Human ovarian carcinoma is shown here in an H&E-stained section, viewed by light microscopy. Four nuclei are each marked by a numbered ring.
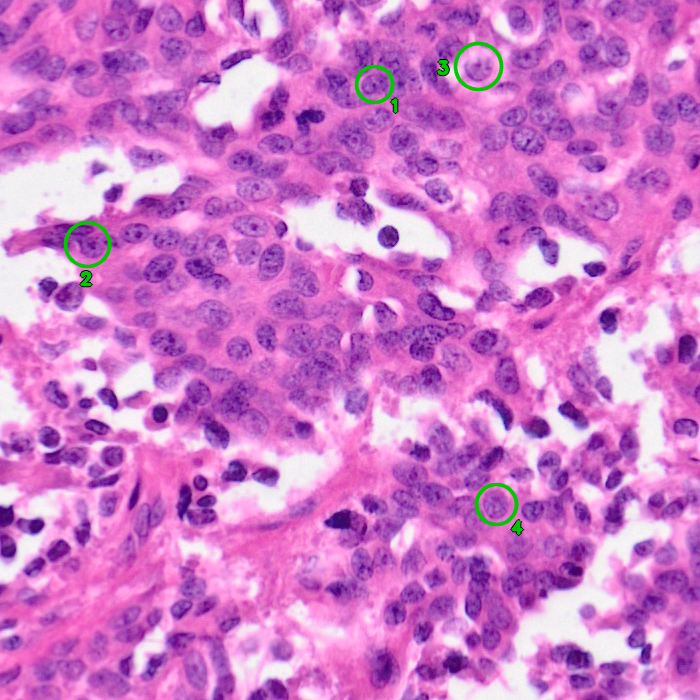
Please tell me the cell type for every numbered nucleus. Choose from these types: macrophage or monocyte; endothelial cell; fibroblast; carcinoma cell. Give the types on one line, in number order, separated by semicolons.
carcinoma cell; carcinoma cell; macrophage or monocyte; carcinoma cell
